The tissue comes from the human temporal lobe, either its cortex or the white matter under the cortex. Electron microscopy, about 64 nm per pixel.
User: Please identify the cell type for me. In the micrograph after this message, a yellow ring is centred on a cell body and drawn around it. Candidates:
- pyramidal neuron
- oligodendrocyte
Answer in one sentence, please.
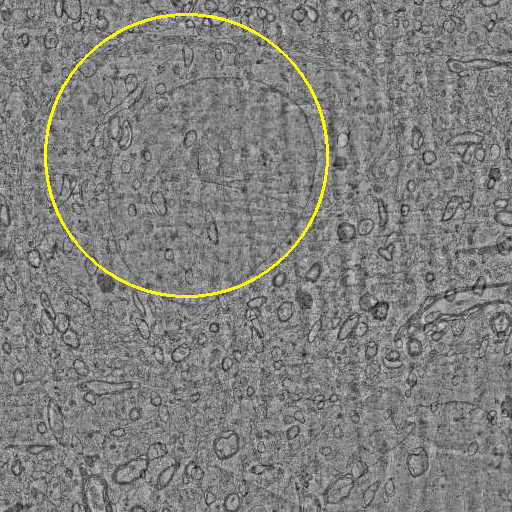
The ring is drawn around the cell body of a pyramidal neuron.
